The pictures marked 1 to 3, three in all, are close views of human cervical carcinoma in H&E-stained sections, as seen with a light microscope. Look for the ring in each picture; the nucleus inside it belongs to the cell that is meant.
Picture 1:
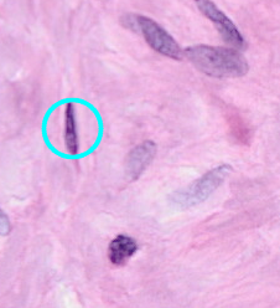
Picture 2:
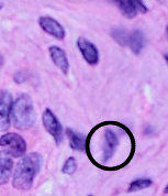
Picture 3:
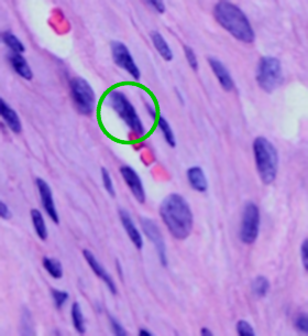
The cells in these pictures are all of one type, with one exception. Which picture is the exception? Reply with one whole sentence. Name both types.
Picture 3 differs, because its cell is an endothelial cell and the rest are fibroblasts.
